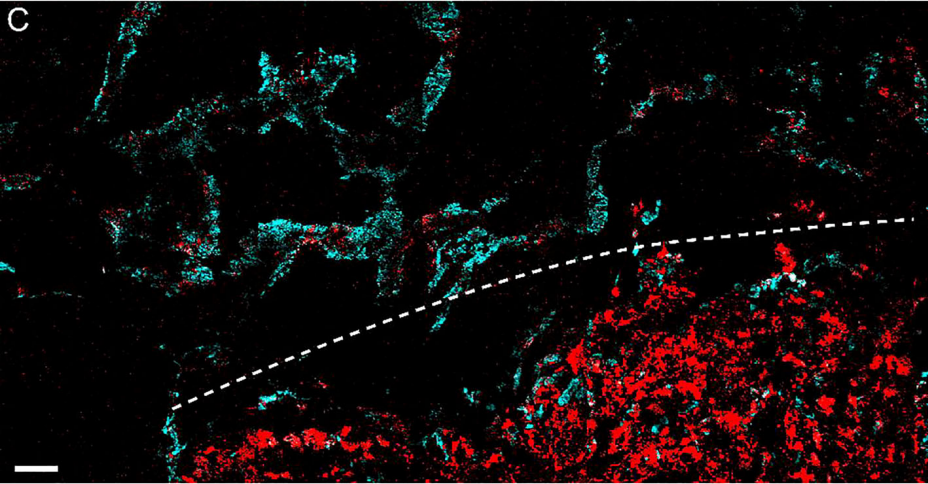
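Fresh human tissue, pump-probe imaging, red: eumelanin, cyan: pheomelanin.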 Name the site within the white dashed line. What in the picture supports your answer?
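The interface between paracancerous regions and melanoma. Below the dashed line the tissue is densely packed with red signal. Above the dashed line thin, strand-like tissue shows mostly cyan signal with scattered red.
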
